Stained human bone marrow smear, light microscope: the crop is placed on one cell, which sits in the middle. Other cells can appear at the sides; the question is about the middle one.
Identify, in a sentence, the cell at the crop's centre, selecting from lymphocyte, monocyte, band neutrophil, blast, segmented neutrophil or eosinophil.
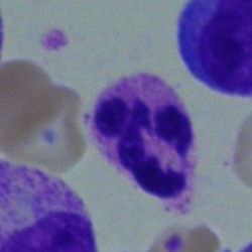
To answer, the cell in the center of the crop is a segmented neutrophil.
